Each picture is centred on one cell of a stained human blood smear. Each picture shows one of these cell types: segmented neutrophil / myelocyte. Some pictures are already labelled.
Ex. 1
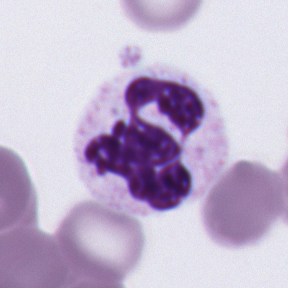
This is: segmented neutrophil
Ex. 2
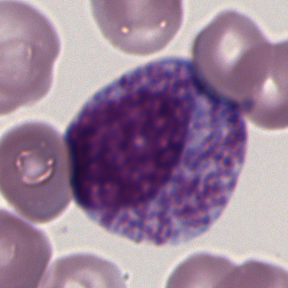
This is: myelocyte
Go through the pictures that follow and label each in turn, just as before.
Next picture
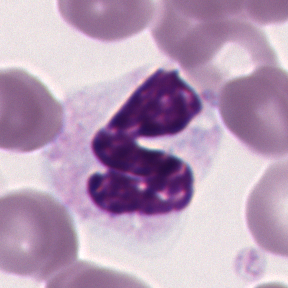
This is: segmented neutrophil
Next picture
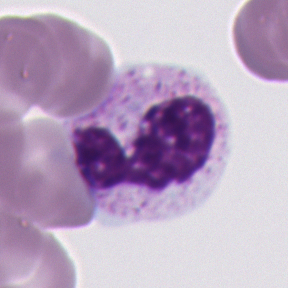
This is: segmented neutrophil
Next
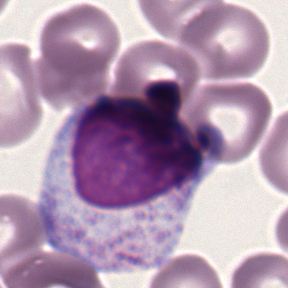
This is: myelocyte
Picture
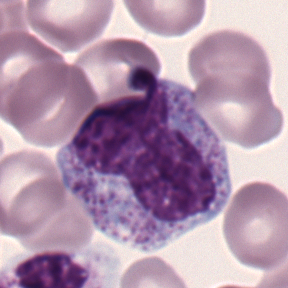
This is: myelocyte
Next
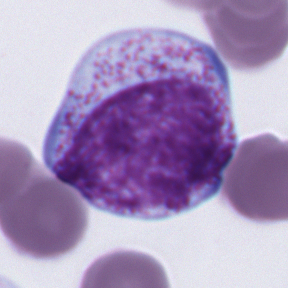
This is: myelocyte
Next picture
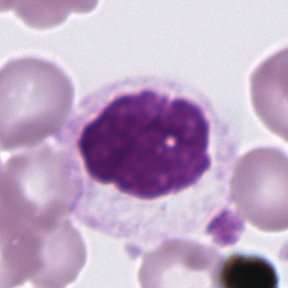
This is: segmented neutrophil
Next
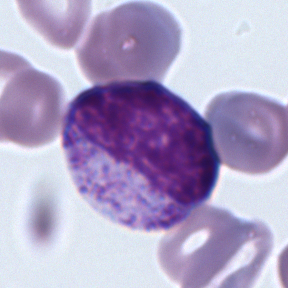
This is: myelocyte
